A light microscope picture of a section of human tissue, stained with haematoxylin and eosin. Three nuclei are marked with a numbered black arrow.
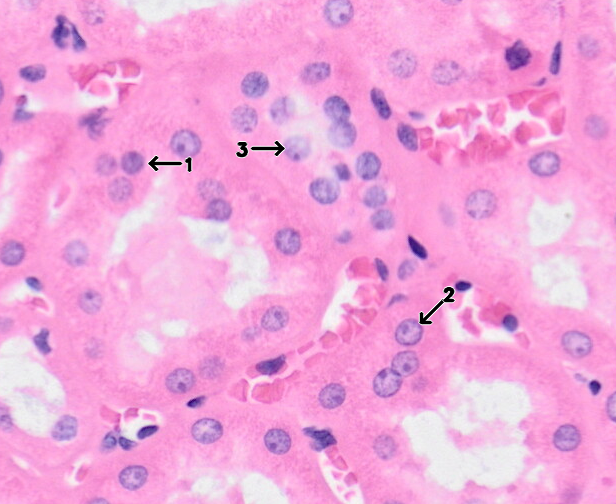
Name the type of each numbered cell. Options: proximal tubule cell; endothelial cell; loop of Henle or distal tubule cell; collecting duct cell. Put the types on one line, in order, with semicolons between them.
proximal tubule cell; proximal tubule cell; loop of Henle or distal tubule cell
